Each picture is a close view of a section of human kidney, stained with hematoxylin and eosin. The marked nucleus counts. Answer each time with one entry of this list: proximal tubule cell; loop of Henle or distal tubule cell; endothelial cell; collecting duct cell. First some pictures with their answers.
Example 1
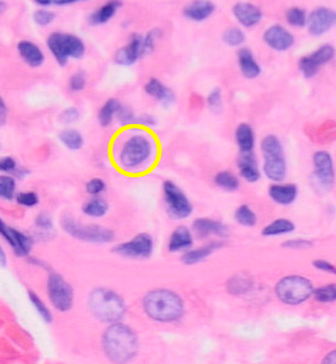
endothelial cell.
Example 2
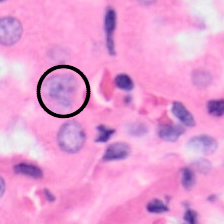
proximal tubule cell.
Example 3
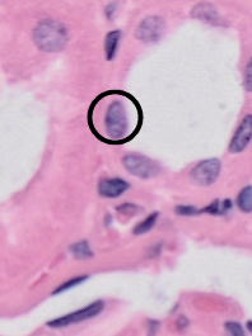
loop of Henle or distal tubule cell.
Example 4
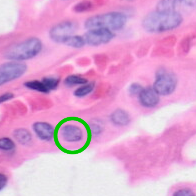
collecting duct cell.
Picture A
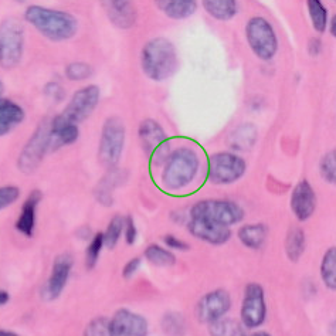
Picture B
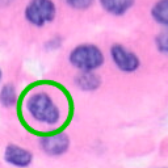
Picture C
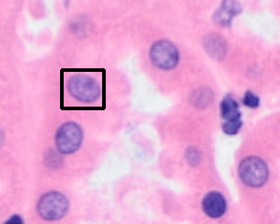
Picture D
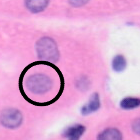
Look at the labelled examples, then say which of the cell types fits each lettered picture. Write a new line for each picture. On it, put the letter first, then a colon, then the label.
A: collecting duct cell.
B: collecting duct cell.
C: proximal tubule cell.
D: proximal tubule cell.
